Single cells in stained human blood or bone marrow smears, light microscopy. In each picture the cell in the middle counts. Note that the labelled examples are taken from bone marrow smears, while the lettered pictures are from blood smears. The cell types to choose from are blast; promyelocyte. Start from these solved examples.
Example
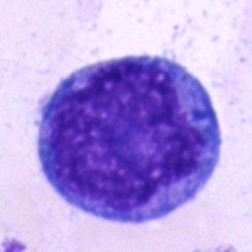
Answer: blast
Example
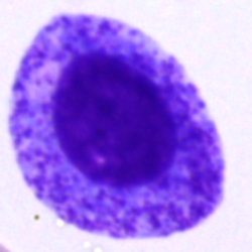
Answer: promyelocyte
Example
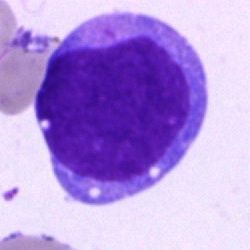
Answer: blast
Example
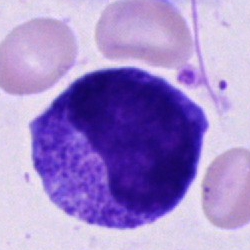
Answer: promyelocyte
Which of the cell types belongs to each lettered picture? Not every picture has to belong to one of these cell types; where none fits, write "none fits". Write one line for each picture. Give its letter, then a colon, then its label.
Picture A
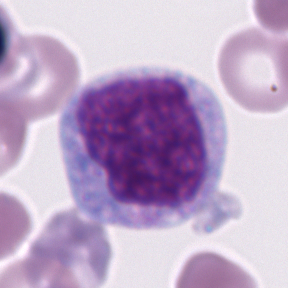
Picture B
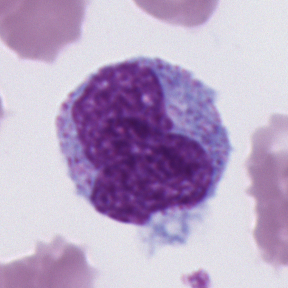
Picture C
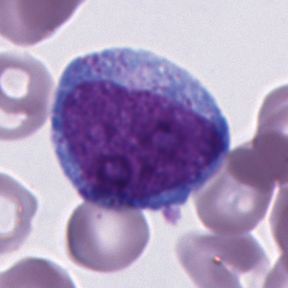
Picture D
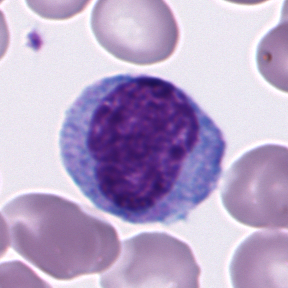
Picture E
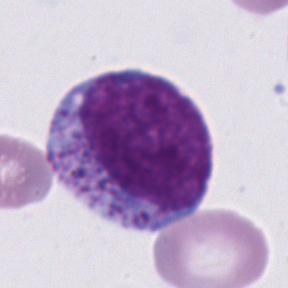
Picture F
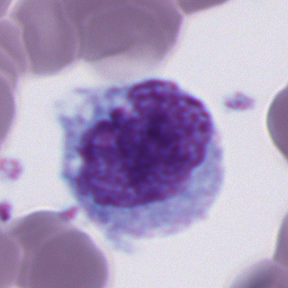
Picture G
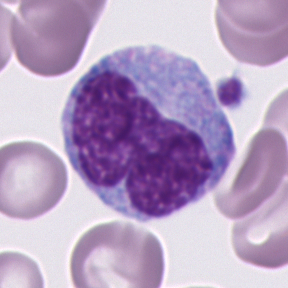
A: none fits
B: none fits
C: promyelocyte
D: none fits
E: promyelocyte
F: none fits
G: none fits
